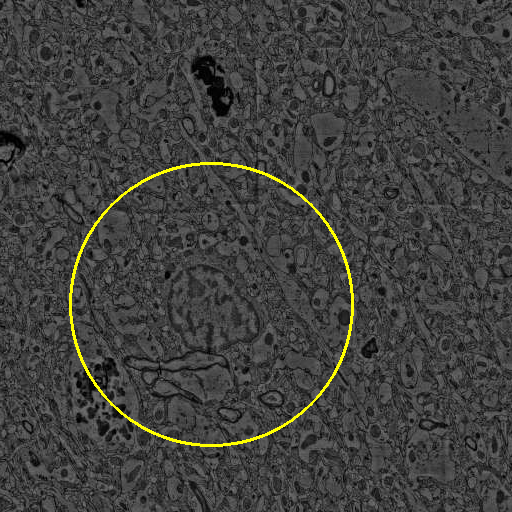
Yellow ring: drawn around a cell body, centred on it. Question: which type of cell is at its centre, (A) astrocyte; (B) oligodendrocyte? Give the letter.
B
